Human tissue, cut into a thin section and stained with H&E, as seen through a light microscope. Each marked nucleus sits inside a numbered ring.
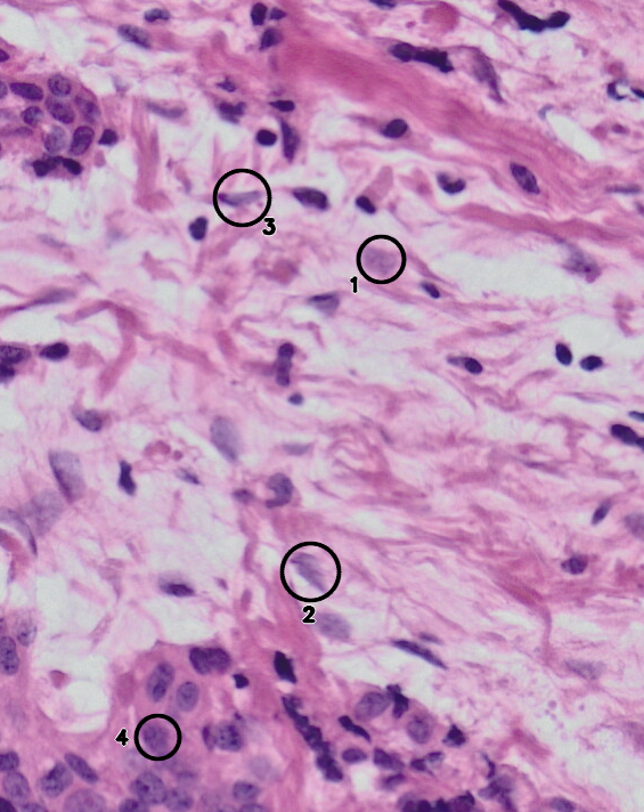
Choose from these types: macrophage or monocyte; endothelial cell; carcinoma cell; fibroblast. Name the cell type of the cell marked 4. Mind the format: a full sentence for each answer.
The cell pointed out by number 4 is a carcinoma cell.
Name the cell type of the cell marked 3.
Nucleus 3 in this section belongs to a fibroblast.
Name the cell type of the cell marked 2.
Nucleus 2 in this section belongs to a fibroblast.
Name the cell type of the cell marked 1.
The cell that bears the number 1 is a fibroblast.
